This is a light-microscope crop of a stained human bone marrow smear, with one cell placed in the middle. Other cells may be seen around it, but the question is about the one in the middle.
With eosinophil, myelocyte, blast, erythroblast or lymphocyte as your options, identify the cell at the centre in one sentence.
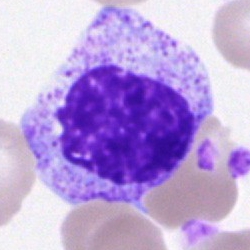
The center cell of this crop is a myelocyte.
